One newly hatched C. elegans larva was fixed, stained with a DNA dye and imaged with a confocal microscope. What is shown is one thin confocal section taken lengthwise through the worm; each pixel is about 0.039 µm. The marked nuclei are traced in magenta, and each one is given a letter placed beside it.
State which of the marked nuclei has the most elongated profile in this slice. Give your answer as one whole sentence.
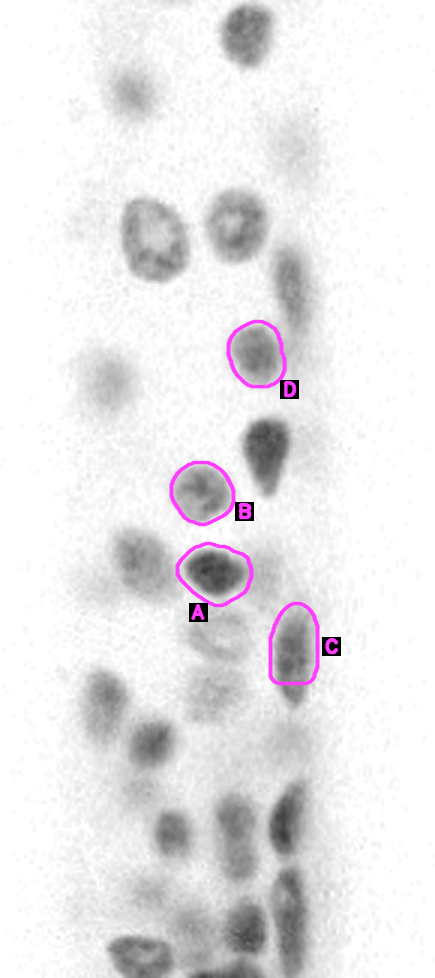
Nucleus C is the longest relative to its width.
